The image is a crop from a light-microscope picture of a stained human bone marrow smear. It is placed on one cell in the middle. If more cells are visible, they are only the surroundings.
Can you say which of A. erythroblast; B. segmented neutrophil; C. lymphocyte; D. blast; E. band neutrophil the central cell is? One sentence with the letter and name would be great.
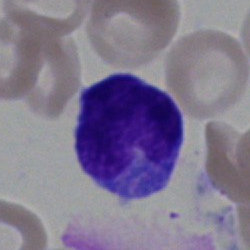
The cell in the middle is a lymphocyte, and that makes option C correct.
